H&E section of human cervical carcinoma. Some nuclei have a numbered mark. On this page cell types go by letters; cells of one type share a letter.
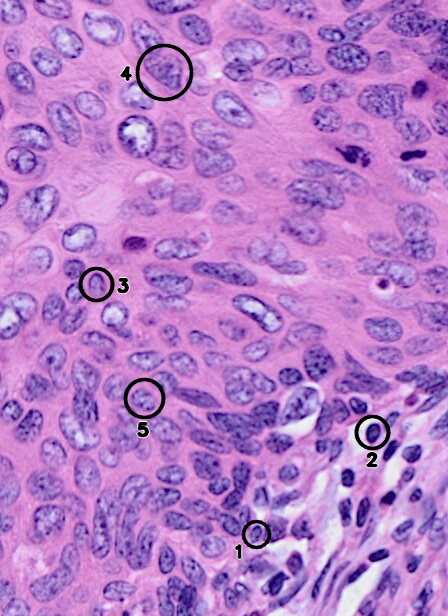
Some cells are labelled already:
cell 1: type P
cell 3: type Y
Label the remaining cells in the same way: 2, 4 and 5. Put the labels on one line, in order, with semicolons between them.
type P; type Y; type Y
